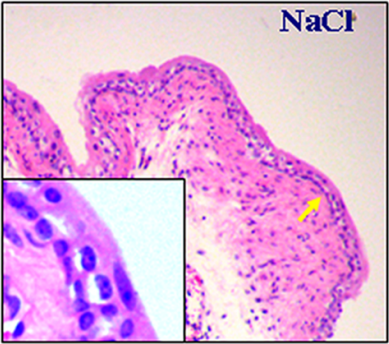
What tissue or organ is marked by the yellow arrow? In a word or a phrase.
Urothelial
